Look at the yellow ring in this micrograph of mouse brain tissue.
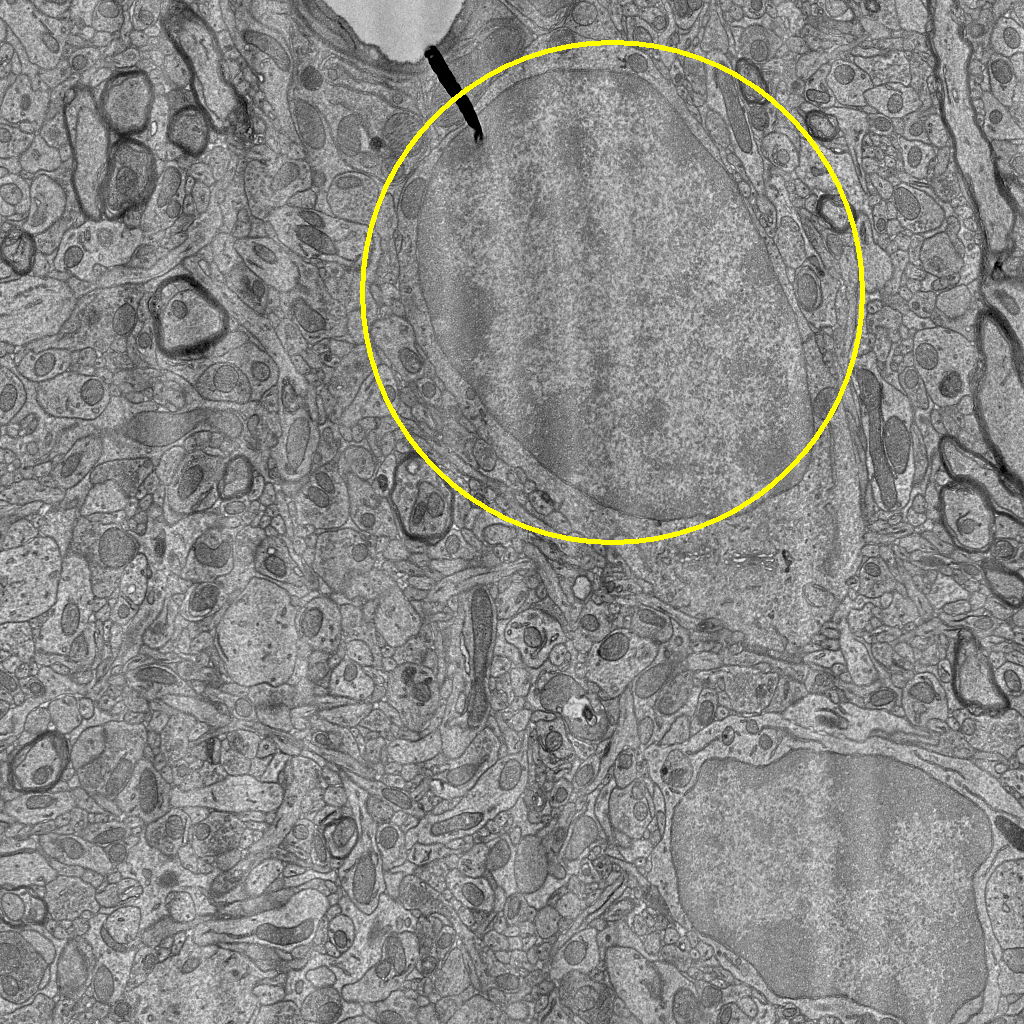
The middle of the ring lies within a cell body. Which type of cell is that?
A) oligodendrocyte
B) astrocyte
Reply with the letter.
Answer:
A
